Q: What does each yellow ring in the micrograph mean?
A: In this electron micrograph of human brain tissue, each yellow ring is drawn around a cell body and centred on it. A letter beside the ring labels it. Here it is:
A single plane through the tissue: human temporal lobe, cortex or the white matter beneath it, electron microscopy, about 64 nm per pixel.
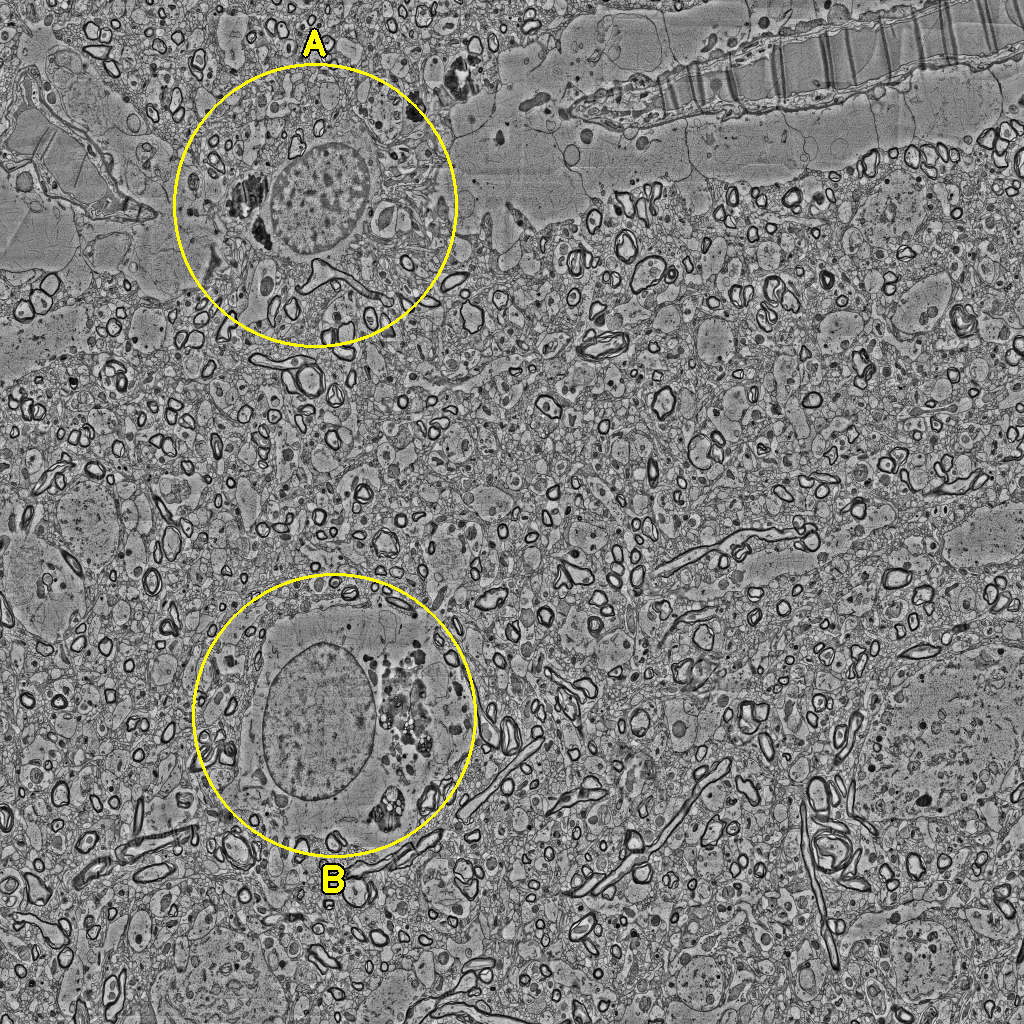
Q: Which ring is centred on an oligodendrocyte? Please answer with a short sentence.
Ring A is the one centred on it.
